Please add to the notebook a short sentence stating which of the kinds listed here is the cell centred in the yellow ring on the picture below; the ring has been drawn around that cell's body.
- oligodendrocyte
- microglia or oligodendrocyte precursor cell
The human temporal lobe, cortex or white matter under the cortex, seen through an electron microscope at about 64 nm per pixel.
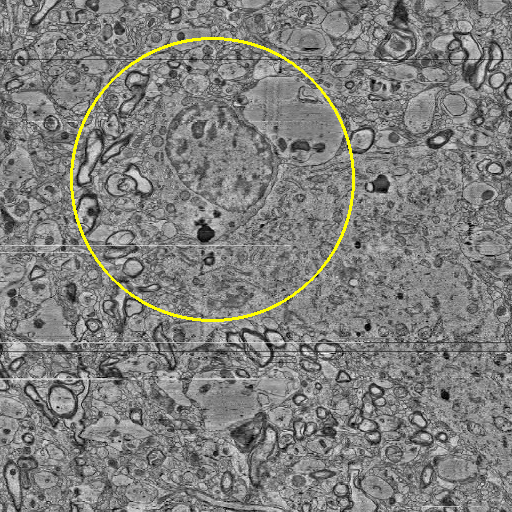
The cell centred in the yellow ring is an oligodendrocyte.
